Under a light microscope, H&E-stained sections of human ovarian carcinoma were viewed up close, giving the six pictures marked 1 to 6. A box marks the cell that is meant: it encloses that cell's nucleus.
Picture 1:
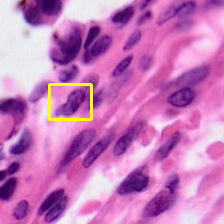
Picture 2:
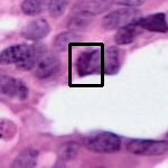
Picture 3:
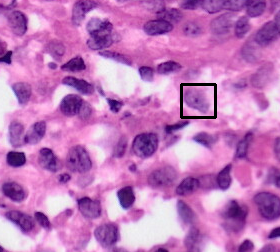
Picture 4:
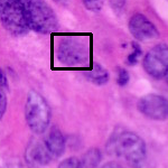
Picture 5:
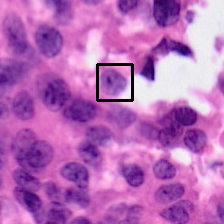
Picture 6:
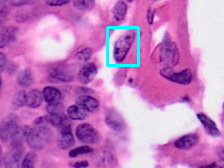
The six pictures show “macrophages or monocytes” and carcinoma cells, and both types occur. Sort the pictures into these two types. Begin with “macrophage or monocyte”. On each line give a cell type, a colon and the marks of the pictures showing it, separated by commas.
macrophage or monocyte: 1, 3, 5, 6
carcinoma cell: 2, 4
